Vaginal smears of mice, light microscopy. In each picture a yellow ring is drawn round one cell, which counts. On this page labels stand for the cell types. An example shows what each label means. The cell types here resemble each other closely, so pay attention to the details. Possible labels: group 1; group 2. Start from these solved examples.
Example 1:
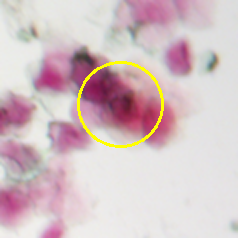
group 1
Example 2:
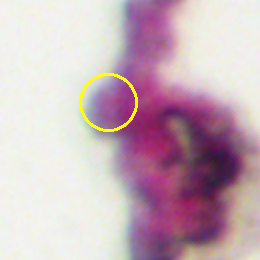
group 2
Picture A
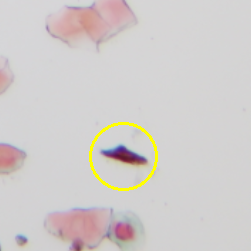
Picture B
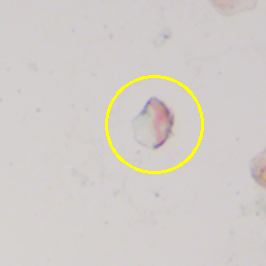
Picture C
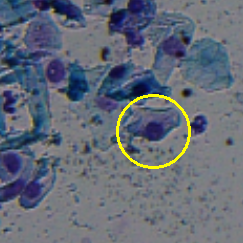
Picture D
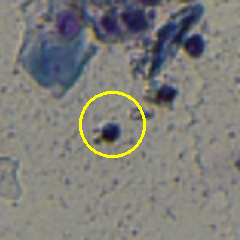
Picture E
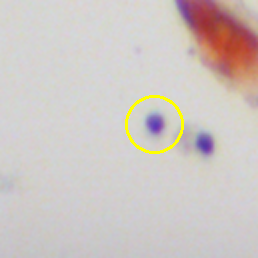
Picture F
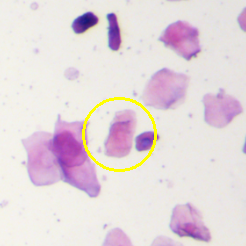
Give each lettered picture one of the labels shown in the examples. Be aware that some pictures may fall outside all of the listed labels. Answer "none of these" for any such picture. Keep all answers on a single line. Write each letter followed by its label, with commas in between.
A none of these, B none of these, C group 1, D group 2, E group 2, F none of these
